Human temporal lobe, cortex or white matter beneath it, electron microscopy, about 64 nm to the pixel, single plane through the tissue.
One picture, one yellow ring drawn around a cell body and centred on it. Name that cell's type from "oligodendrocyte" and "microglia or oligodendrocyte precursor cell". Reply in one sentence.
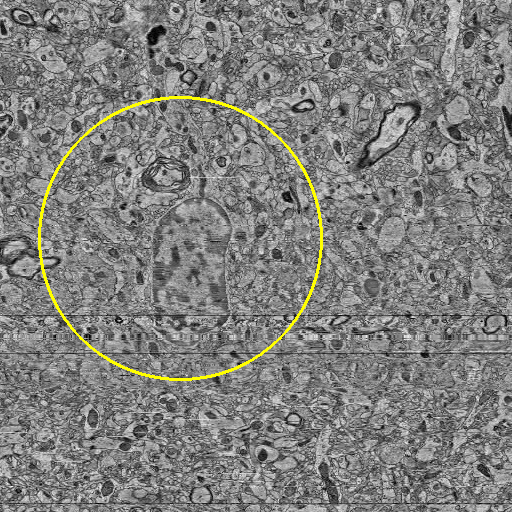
Centred in the ring is a microglial cell or oligodendrocyte precursor cell.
